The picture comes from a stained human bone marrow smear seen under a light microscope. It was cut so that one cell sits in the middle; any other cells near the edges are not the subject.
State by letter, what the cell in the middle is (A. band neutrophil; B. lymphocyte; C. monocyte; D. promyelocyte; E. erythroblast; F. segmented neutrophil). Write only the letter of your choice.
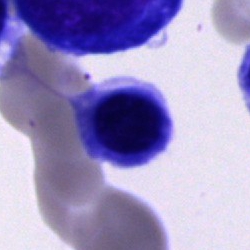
E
